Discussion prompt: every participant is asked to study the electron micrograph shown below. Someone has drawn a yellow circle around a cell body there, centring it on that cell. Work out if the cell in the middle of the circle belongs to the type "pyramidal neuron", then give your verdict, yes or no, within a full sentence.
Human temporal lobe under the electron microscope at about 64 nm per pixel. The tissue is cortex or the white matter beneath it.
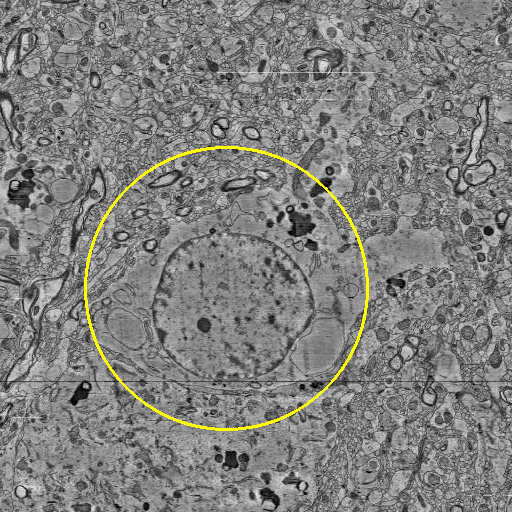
No, my verdict is that the cell in the circle's centre is of a different type.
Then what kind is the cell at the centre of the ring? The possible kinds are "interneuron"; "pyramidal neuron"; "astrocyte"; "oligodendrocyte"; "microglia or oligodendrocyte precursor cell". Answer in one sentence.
The correct answer is that the cell is an astrocyte.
